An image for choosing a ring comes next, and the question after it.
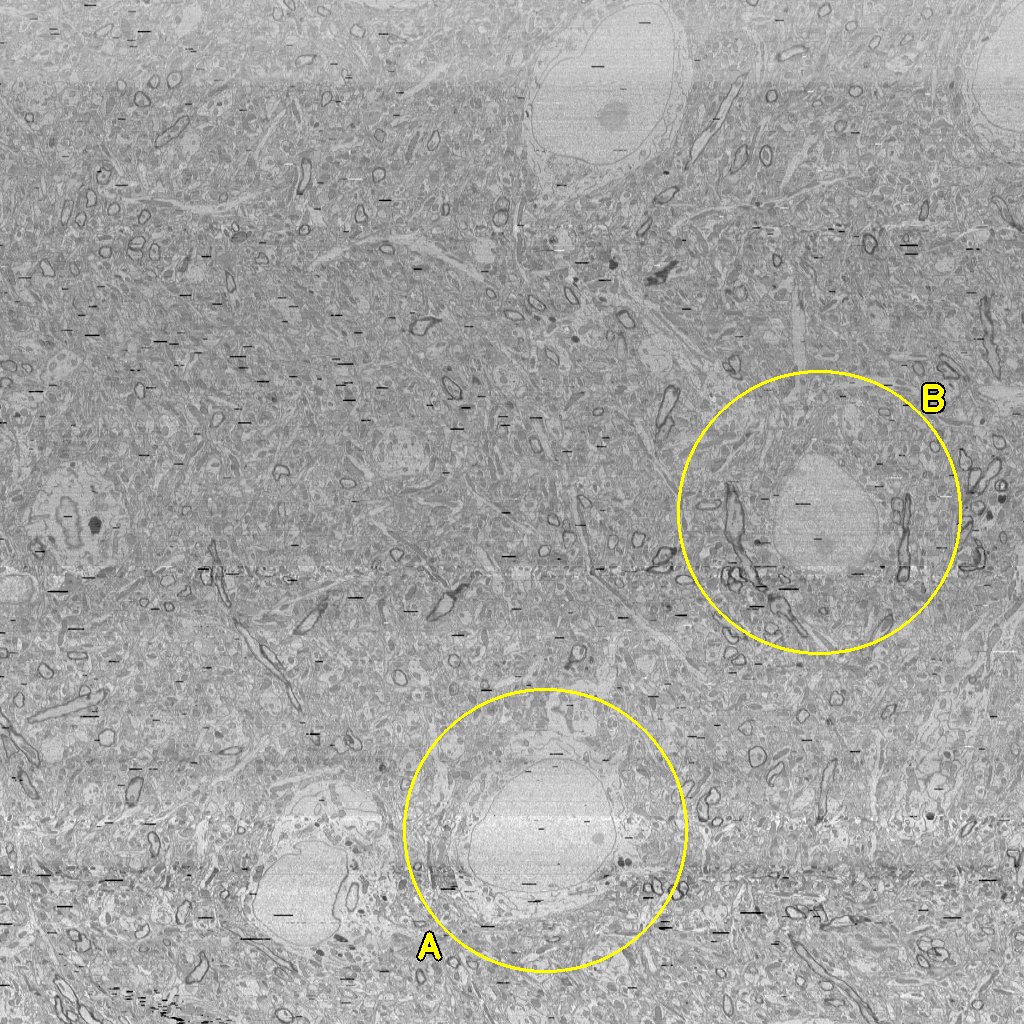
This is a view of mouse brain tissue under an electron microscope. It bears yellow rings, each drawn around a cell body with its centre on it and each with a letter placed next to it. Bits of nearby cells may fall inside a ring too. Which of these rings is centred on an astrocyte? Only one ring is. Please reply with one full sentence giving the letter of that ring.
Of all the lettered rings, B is the one centred on a cell of that kind.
